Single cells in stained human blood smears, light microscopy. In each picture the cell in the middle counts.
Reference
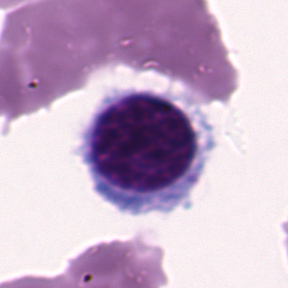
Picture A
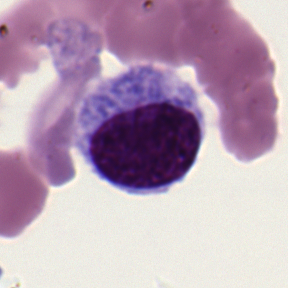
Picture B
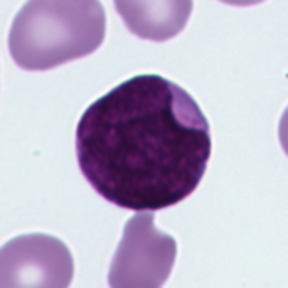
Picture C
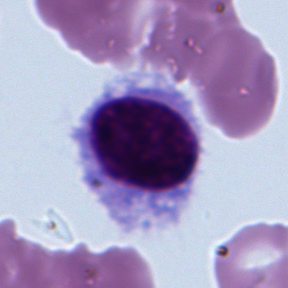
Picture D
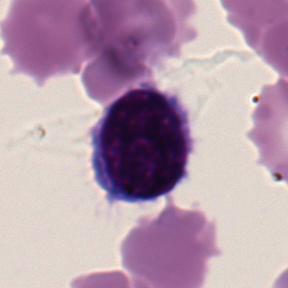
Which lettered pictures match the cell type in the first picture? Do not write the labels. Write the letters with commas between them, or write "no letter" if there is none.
A, C, D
